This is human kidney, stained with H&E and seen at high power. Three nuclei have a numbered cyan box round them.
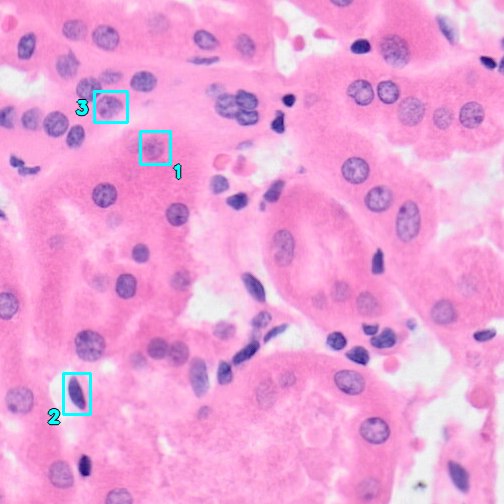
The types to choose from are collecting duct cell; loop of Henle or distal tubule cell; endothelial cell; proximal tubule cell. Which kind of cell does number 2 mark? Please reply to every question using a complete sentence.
Within this field of view, the cell labelled 2 is an endothelial cell.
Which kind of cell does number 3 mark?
Number 3 is placed on a collecting duct cell here.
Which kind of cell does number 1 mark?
Denoted by the label 1 in the section is a proximal tubule cell.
